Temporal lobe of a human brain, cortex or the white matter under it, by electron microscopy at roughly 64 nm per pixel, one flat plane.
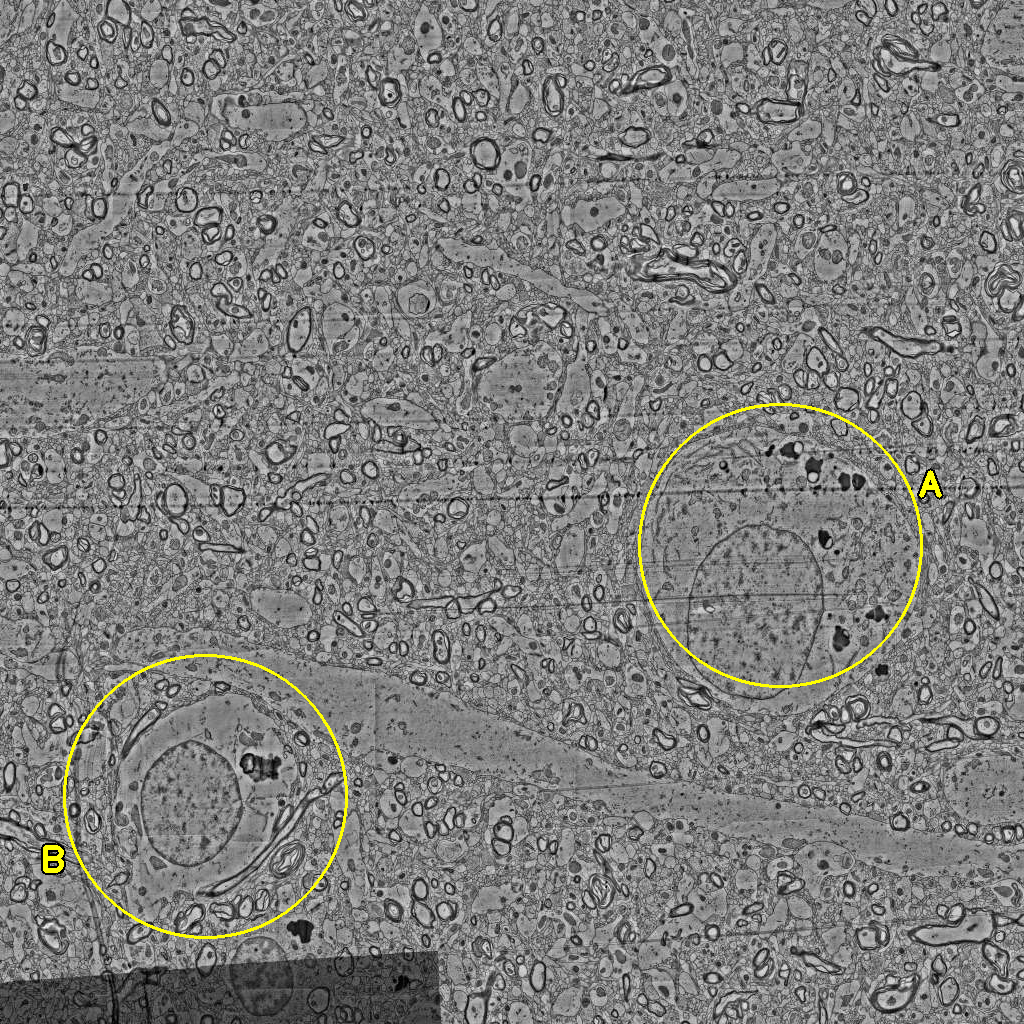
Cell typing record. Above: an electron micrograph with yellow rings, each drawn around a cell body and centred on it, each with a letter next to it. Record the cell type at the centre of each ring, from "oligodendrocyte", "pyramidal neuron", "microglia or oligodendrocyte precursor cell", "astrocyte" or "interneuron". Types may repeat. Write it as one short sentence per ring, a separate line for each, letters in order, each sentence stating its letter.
Ring A circles a pyramidal neuron.
Ring B circles an astrocyte.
